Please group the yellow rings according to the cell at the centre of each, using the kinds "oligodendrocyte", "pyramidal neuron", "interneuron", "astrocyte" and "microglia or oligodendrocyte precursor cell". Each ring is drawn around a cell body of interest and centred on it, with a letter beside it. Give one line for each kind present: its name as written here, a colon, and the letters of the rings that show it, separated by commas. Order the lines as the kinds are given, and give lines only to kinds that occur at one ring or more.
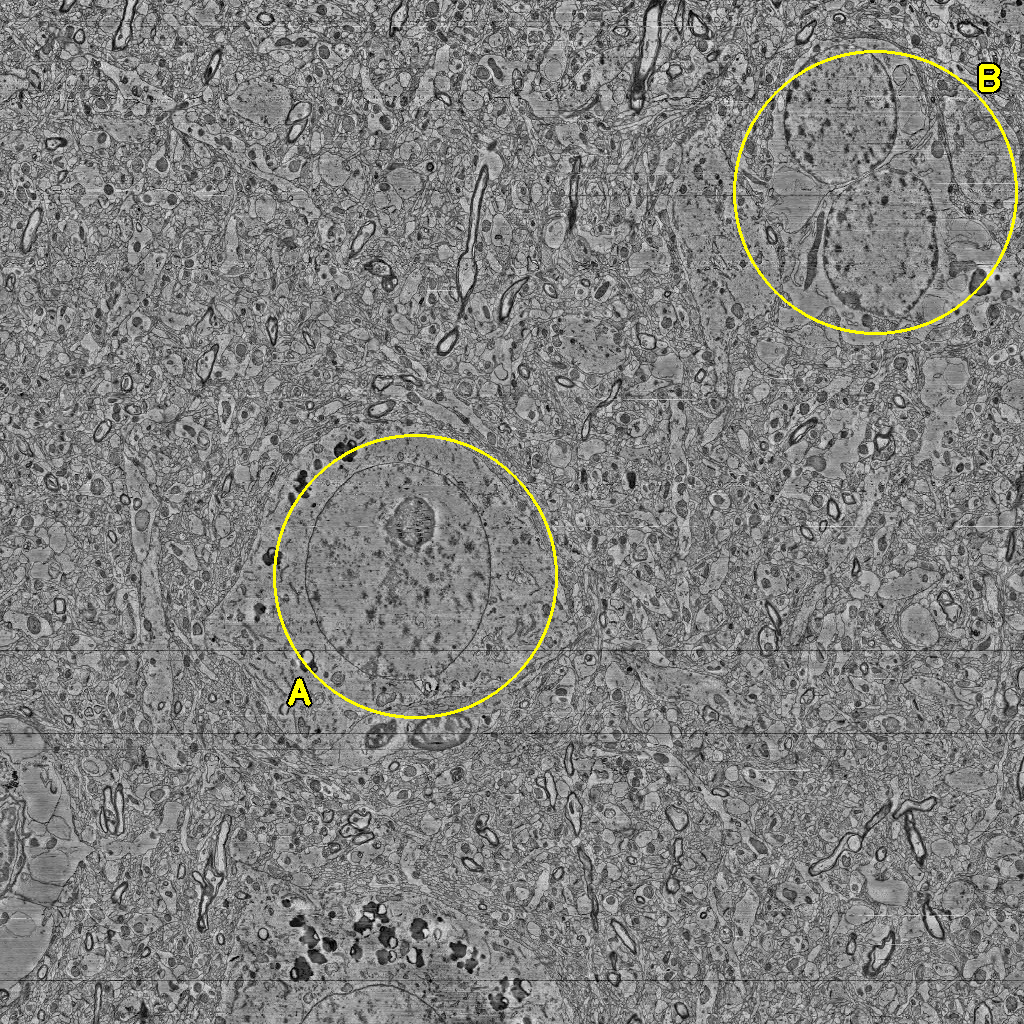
pyramidal neuron: A
astrocyte: B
